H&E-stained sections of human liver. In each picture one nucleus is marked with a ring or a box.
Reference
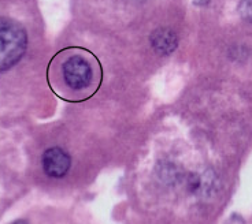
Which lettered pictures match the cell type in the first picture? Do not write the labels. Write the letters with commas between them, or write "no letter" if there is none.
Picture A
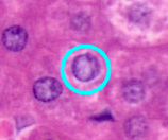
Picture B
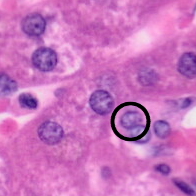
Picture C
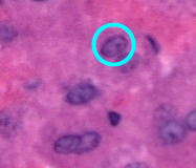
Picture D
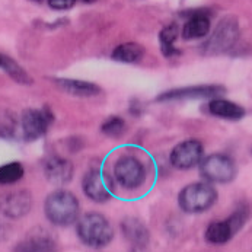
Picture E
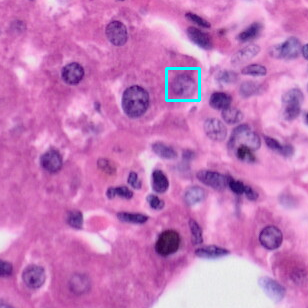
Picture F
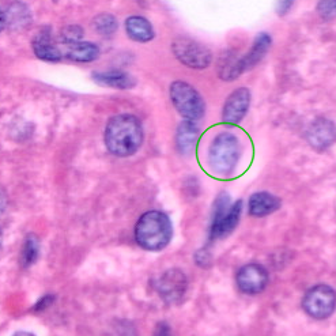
A, C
